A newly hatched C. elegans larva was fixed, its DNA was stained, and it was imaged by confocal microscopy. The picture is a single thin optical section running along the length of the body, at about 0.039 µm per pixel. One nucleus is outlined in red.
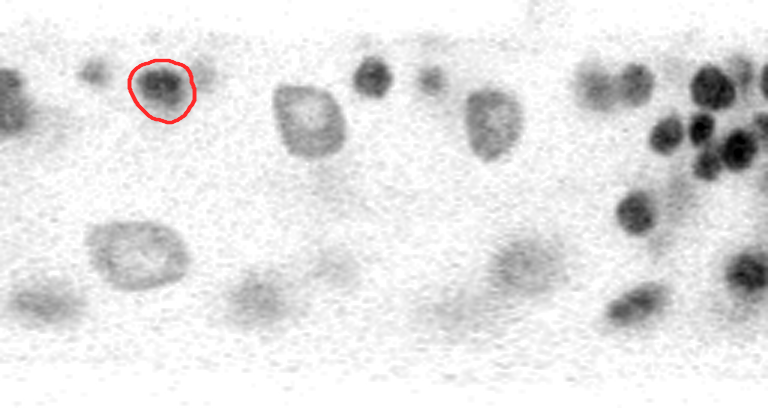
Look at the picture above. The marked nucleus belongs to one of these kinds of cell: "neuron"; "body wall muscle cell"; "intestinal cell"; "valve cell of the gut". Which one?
body wall muscle cell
